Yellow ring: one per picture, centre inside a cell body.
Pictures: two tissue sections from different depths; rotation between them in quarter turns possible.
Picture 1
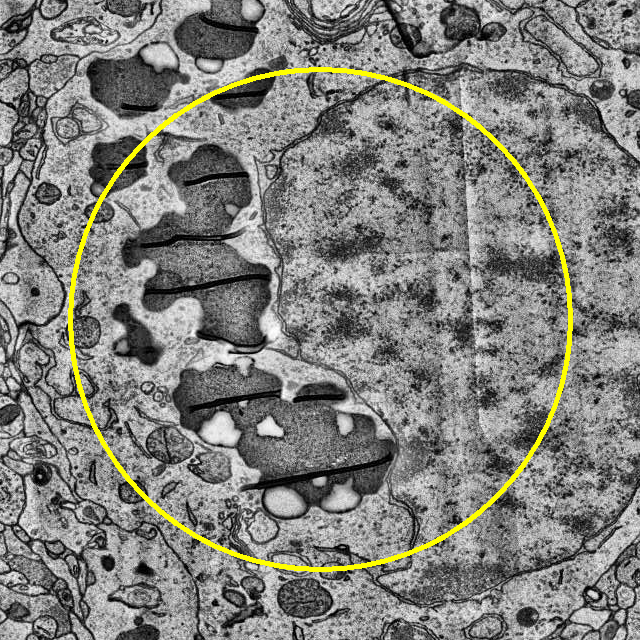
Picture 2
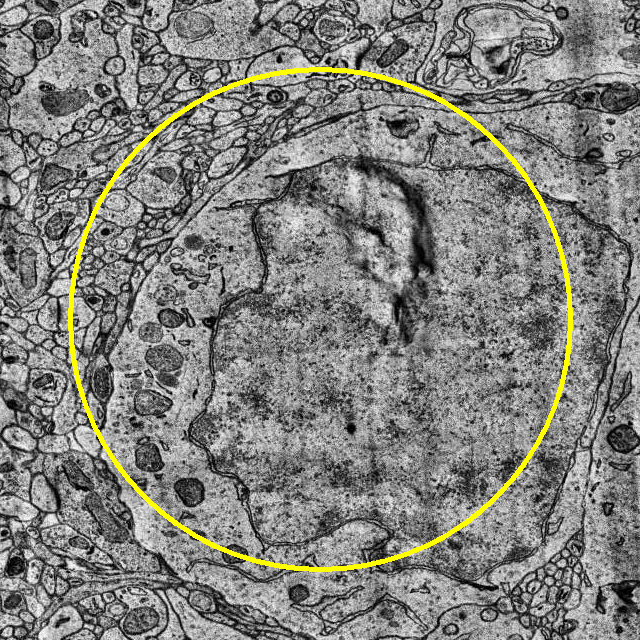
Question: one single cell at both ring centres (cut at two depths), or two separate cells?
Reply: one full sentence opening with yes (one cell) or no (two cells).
No, what the two rings mark is two different cells.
